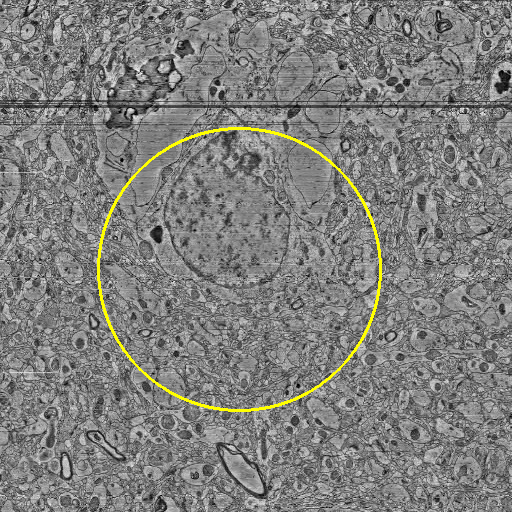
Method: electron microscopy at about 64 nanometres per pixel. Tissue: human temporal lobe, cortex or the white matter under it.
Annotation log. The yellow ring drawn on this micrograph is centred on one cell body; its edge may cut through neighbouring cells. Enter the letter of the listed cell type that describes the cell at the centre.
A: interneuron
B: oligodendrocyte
A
